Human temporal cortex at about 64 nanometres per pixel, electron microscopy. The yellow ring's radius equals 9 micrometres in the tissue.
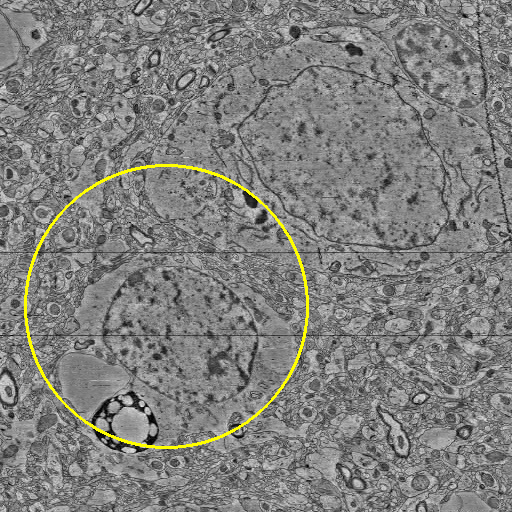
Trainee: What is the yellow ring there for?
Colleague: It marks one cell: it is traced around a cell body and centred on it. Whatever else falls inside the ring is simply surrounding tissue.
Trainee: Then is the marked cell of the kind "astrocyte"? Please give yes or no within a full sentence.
Yes, the marked cell at the centre of the yellow ring is of the kind asked about.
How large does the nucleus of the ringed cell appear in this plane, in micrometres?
About 10 by 8 micrometres in this plane.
